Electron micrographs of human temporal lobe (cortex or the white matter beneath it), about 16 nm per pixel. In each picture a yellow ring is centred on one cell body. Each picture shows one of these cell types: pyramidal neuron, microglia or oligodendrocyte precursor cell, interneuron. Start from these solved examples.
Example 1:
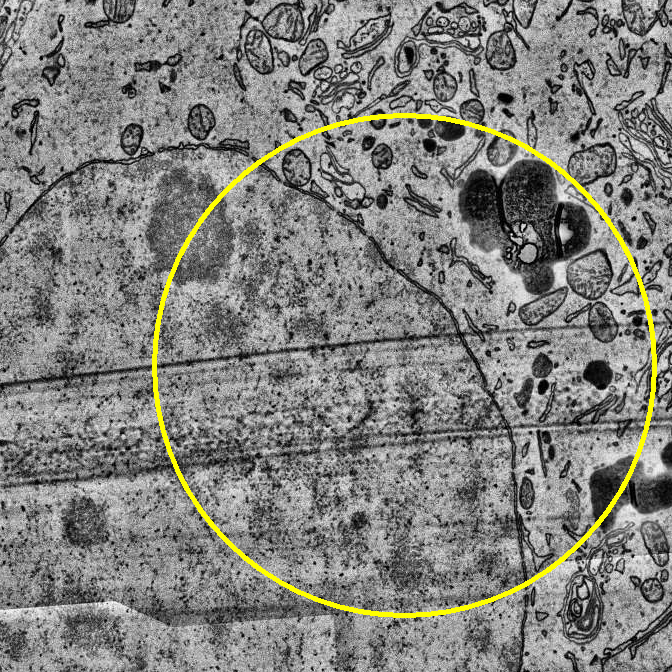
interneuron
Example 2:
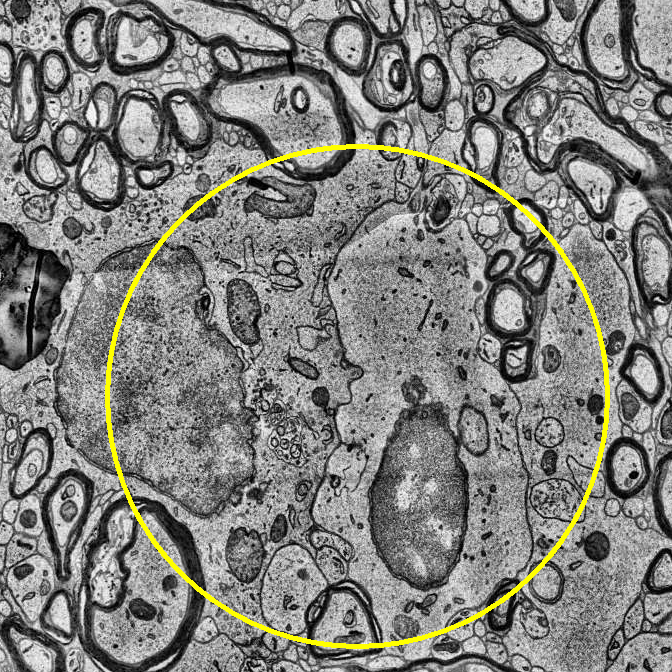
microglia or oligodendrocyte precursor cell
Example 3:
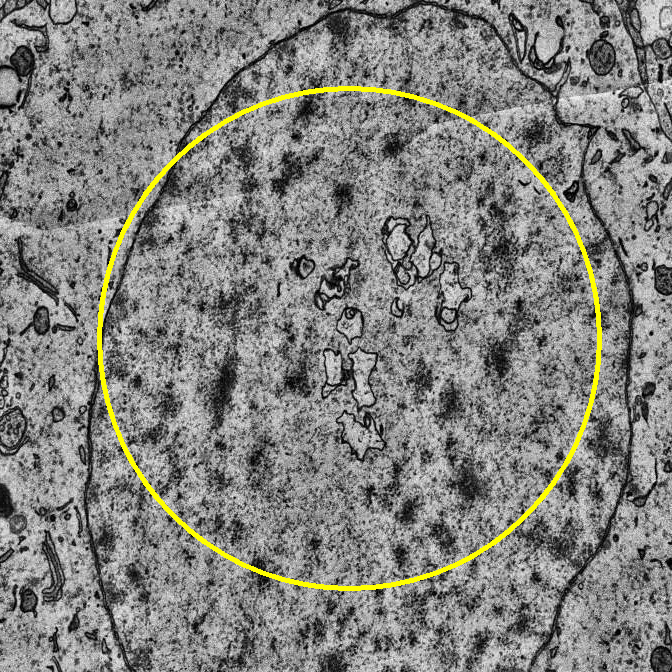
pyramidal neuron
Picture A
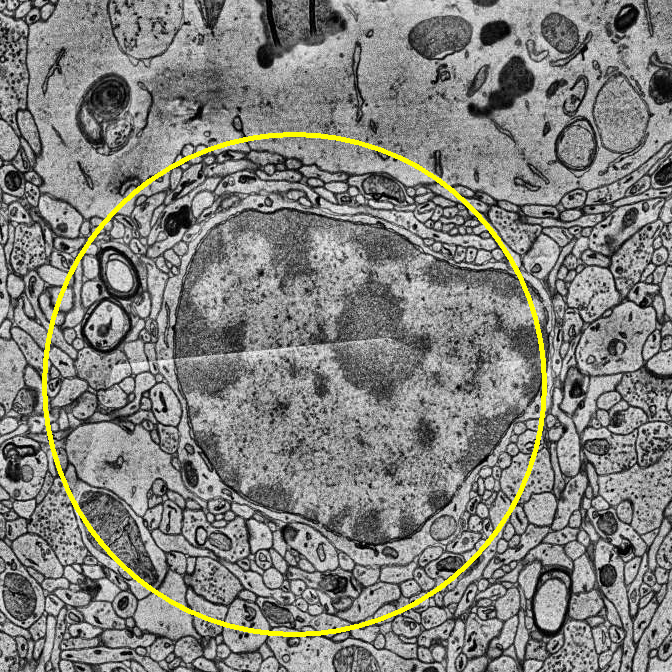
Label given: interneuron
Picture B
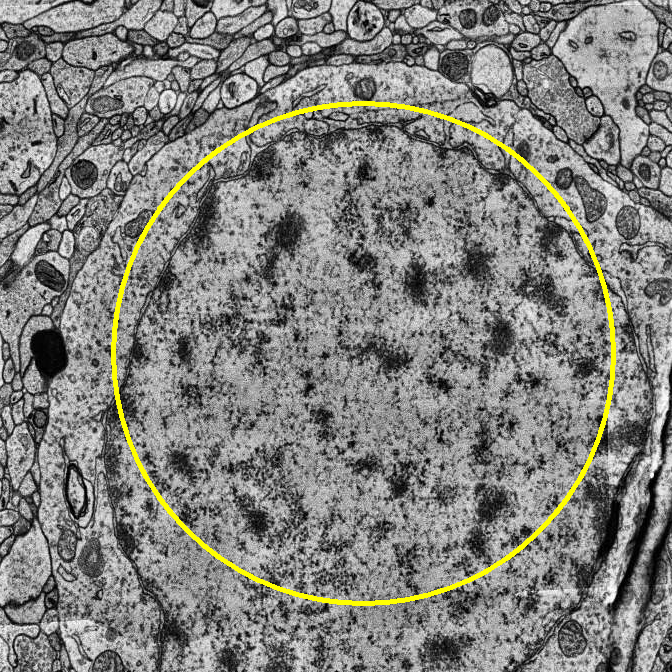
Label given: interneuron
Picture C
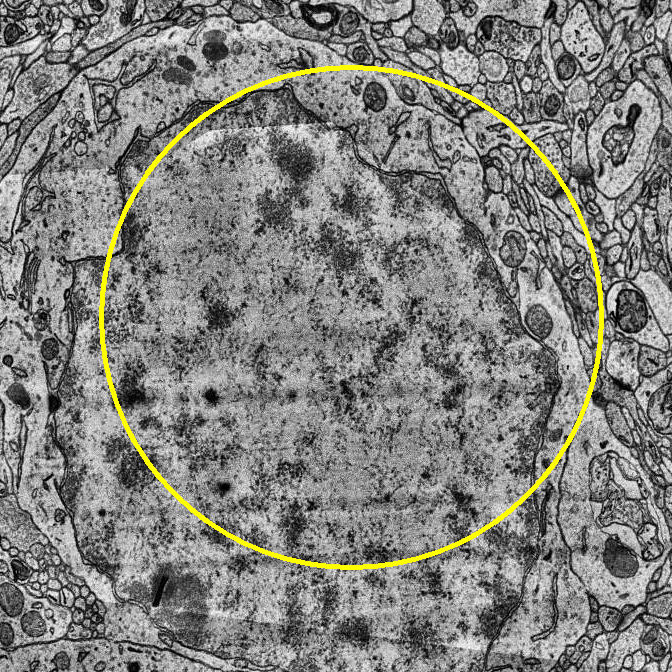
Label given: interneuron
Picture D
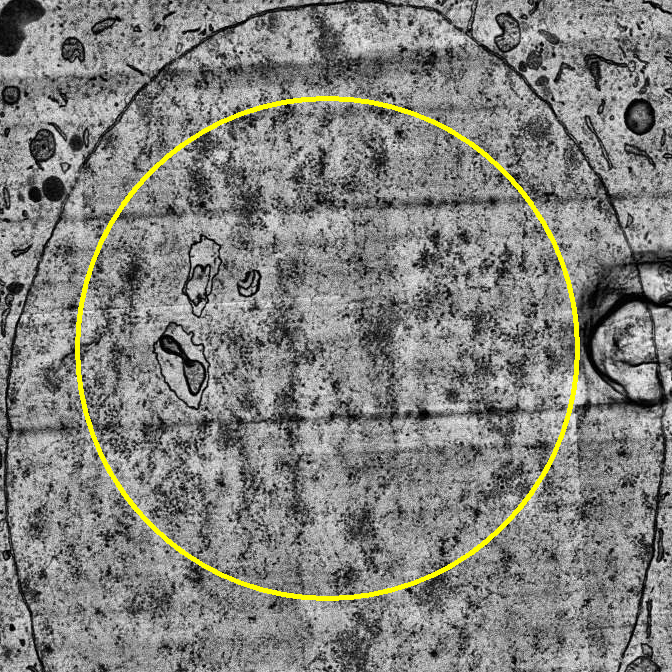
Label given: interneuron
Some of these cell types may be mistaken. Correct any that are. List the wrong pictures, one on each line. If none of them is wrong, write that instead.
A should be microglia or oligodendrocyte precursor cell, not interneuron
D should be pyramidal neuron, not interneuron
